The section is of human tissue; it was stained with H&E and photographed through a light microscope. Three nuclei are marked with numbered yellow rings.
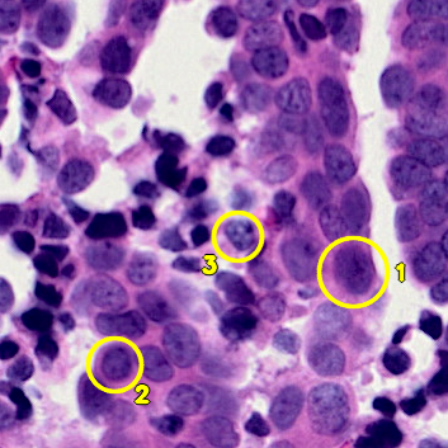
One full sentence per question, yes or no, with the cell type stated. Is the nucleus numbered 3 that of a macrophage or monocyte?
Yes, the cell tagged with number 3 is a macrophage or monocyte.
